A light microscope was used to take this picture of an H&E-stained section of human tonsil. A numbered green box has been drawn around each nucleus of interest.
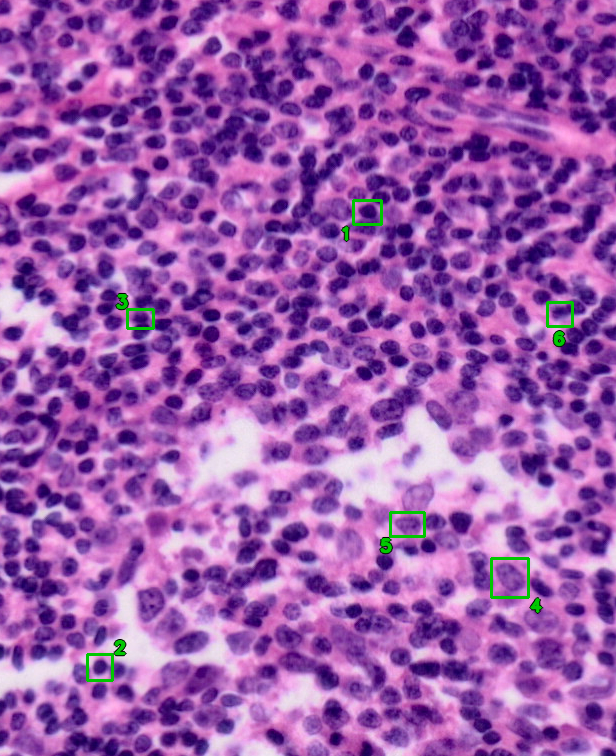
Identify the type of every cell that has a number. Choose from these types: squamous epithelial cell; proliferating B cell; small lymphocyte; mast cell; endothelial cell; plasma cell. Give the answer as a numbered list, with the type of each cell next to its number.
1. small lymphocyte
2. small lymphocyte
3. small lymphocyte
4. proliferating B cell
5. proliferating B cell
6. small lymphocyte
